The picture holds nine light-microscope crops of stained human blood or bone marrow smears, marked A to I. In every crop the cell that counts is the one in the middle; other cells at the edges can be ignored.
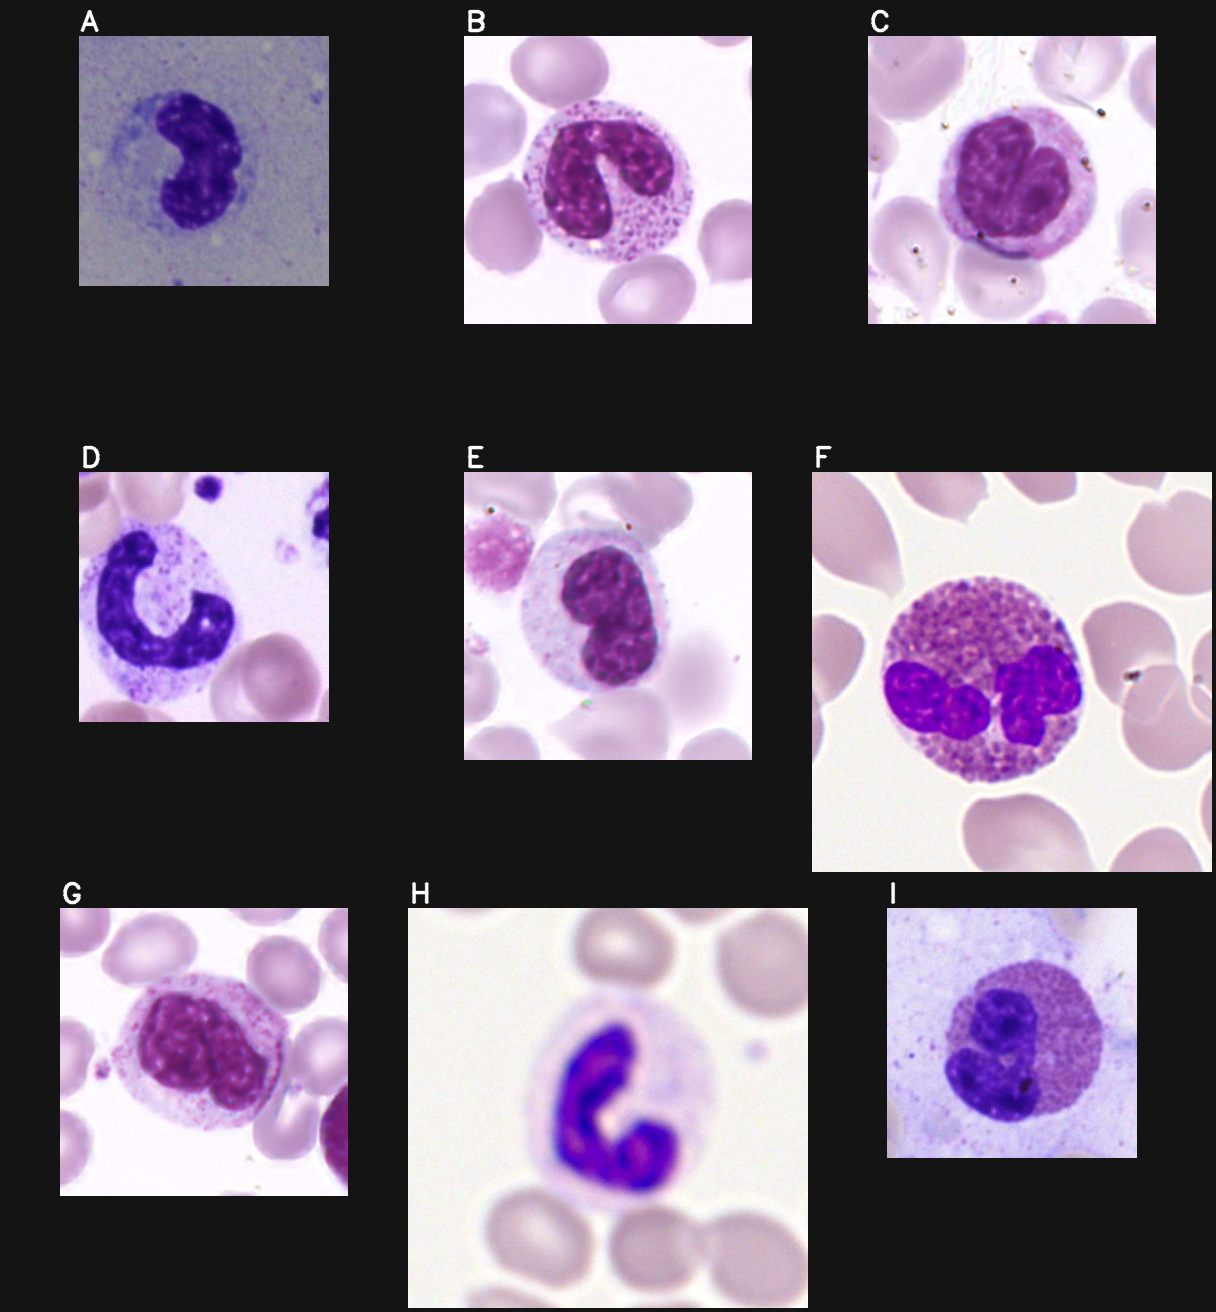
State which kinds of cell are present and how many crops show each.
band neutrophil: 7
eosinophil: 2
